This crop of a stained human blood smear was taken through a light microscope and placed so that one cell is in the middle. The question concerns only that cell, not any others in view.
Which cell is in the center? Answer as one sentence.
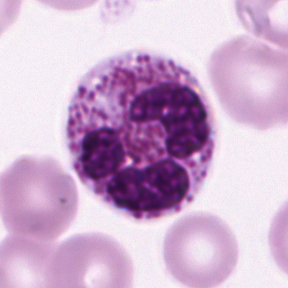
The centrally positioned cell in the crop represents an eosinophil.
